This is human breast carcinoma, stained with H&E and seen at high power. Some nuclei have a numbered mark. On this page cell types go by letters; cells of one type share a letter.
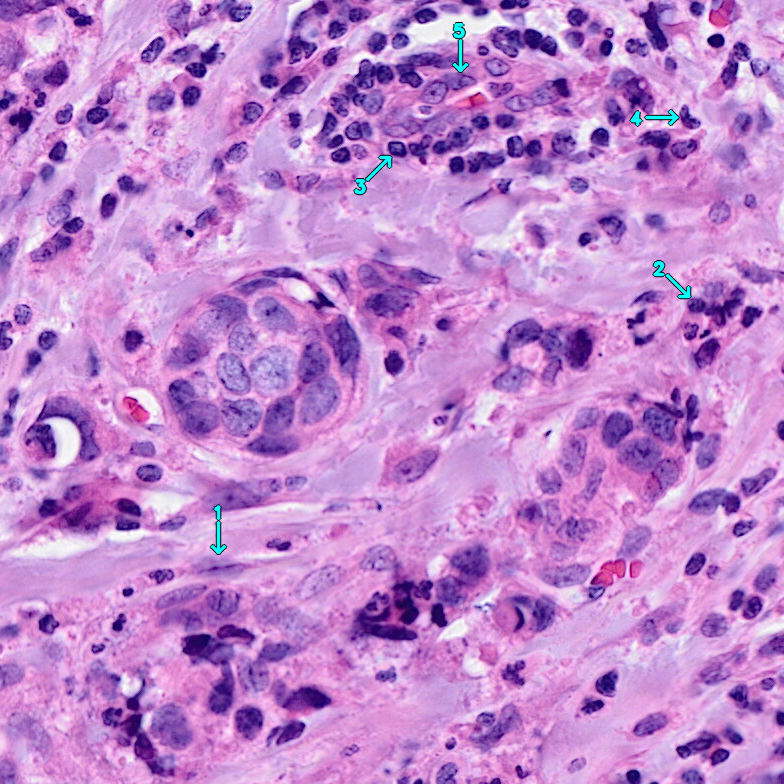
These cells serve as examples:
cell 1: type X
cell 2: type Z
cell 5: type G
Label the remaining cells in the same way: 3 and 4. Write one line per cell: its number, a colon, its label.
3: type Z
4: type Z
